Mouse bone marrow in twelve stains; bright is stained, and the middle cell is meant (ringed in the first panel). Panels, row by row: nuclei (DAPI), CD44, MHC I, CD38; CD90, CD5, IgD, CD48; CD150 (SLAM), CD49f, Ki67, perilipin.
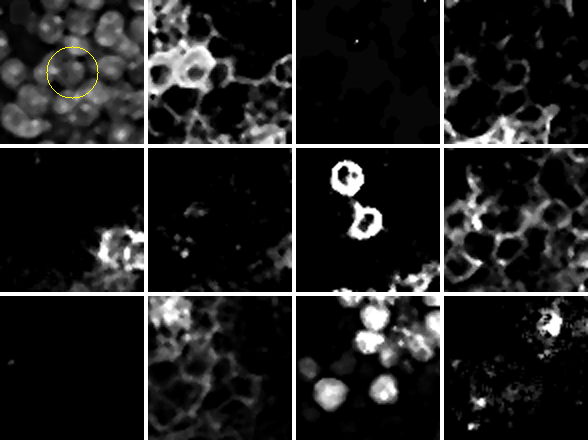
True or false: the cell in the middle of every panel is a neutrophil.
False; it is a B cell.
